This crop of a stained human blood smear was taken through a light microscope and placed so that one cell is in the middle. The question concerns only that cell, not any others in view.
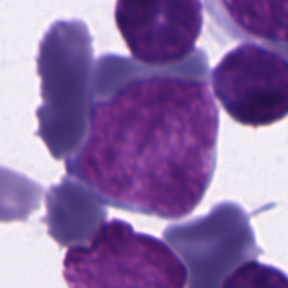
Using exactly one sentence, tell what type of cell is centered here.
Looking at the middle of the crop, the cell there is a myeloblast.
